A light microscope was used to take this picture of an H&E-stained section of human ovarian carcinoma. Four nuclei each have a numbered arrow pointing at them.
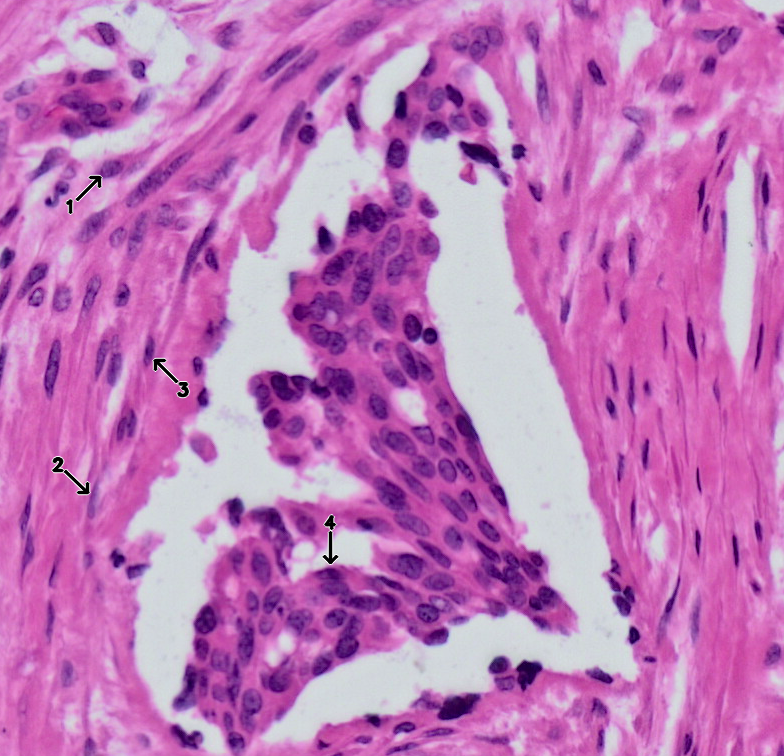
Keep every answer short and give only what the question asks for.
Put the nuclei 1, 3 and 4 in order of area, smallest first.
3, 4, 1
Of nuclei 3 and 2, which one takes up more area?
2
